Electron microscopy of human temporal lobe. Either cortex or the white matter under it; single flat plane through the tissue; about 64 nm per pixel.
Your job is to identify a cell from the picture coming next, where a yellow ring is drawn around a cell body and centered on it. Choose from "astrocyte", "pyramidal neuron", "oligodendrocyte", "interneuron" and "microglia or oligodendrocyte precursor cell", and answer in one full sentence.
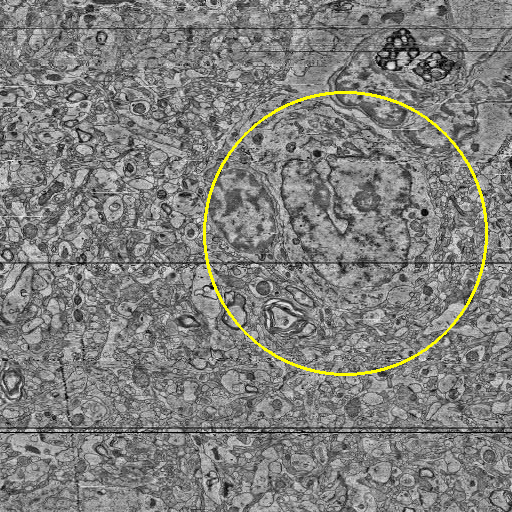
Centered in the yellow ring of the picture is the body of an interneuron.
